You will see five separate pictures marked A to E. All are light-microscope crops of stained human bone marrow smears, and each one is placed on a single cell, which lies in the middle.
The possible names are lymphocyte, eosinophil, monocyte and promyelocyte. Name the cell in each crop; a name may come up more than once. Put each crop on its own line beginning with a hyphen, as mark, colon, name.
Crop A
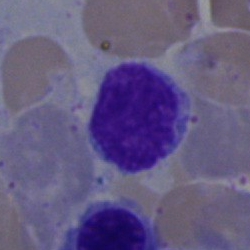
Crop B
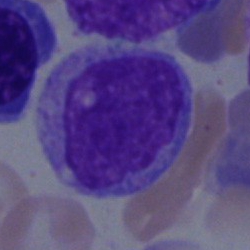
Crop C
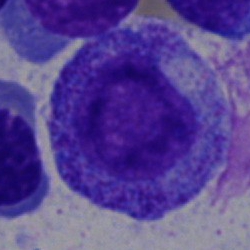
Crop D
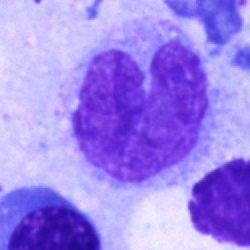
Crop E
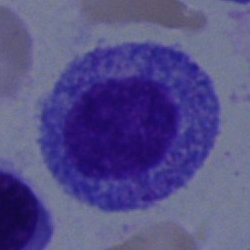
- A: lymphocyte
- B: monocyte
- C: promyelocyte
- D: monocyte
- E: promyelocyte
